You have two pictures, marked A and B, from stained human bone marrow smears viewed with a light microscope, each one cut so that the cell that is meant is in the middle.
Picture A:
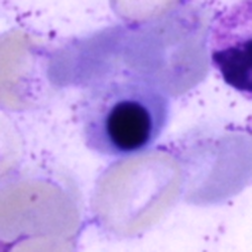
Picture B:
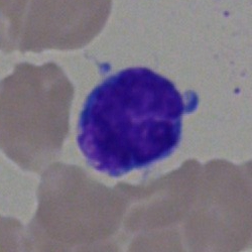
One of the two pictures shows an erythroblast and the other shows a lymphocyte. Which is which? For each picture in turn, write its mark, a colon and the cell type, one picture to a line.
A: erythroblast
B: lymphocyte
